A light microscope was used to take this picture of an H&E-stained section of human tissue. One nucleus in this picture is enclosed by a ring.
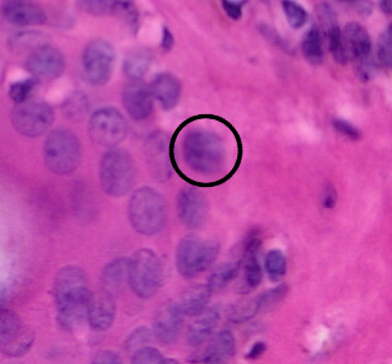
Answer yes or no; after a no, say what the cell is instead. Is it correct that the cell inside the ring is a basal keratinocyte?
Yes.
